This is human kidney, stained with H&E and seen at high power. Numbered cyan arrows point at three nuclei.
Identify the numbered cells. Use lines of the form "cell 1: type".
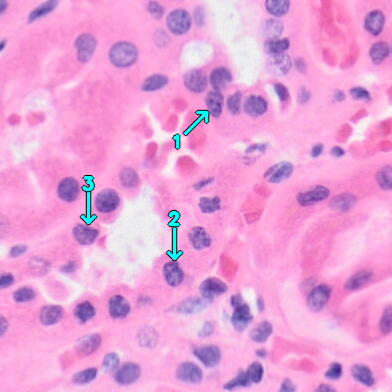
cell 1: collecting duct cell
cell 2: loop of Henle or distal tubule cell
cell 3: loop of Henle or distal tubule cell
